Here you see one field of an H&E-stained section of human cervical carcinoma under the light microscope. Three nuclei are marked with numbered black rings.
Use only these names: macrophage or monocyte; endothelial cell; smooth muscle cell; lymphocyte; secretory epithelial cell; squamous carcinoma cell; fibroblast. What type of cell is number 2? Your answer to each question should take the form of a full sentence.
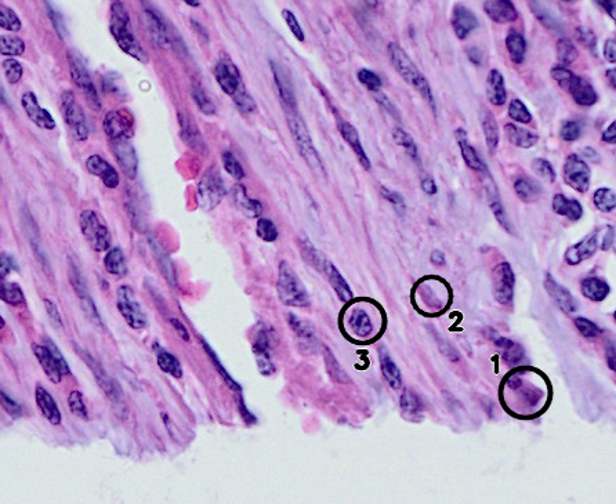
What the number 2 marks in this field is a fibroblast.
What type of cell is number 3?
Here the cell numbered 3 is a lymphocyte.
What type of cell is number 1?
The cell to which the number 1 is assigned is a macrophage or monocyte.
